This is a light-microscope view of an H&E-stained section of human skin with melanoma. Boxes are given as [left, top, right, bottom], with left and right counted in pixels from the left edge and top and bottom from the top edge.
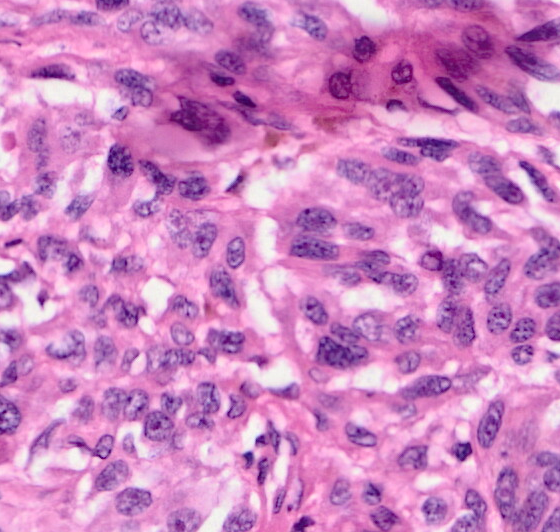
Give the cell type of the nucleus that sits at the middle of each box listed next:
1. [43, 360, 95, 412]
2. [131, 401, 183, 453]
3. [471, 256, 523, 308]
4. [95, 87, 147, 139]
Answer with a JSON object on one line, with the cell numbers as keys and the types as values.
{"1": "melanoma cell", "2": "melanoma cell", "3": "melanoma cell", "4": "lymphocyte"}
